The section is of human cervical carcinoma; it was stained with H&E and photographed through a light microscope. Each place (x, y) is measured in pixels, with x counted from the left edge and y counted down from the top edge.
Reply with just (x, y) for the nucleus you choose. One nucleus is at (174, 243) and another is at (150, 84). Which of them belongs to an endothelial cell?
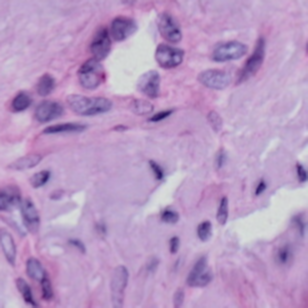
(150, 84)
